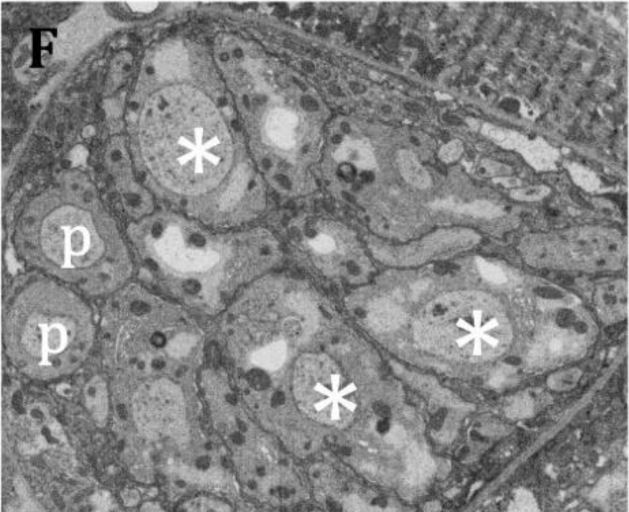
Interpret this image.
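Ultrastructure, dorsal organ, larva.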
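This is a section through a small sensory ganglion, a compact cluster of neuronal cell bodies wrapped in a thin sheath. Each cell body holds a round, pale nucleus surrounded by a rim of cytoplasm with scattered dark granules and pale vacuoles. Between the larger cell bodies lie smaller round profiles, and the whole group is packed tightly with little space between cells.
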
